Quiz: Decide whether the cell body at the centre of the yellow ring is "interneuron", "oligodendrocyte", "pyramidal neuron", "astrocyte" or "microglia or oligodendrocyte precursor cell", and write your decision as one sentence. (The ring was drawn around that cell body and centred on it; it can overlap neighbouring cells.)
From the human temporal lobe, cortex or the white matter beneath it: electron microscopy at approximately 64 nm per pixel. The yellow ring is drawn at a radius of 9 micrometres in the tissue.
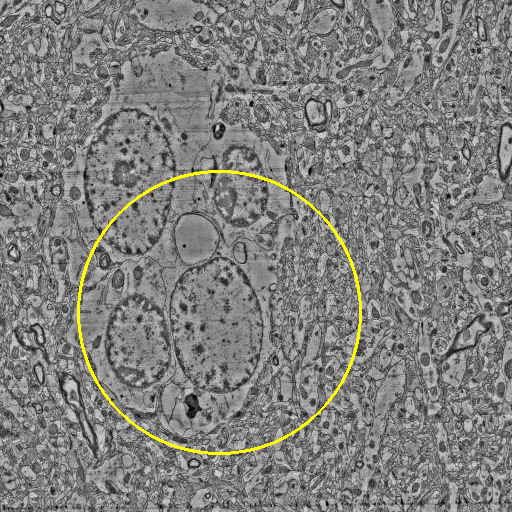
The cell the ring is centred on is an astrocyte.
